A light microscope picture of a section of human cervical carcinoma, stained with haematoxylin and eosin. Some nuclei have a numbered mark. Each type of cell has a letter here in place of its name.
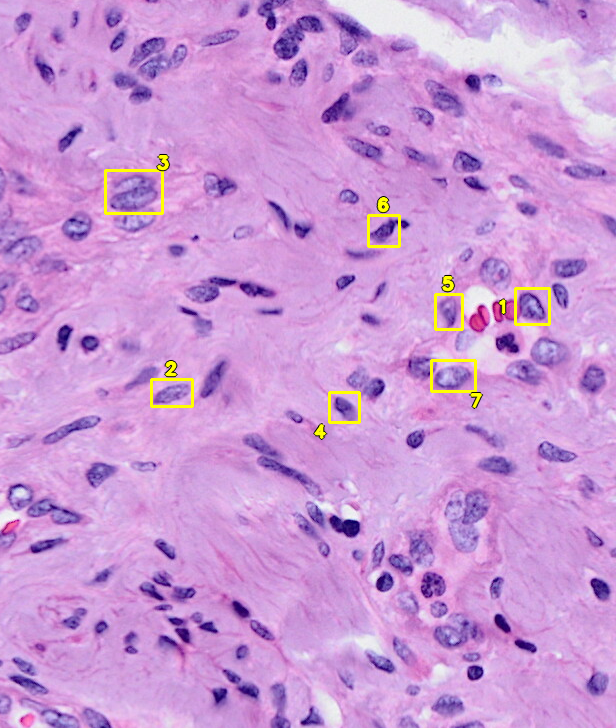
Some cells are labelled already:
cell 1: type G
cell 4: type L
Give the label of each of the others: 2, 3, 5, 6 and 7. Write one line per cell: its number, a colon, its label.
2: type L
3: type G
5: type G
6: type L
7: type G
